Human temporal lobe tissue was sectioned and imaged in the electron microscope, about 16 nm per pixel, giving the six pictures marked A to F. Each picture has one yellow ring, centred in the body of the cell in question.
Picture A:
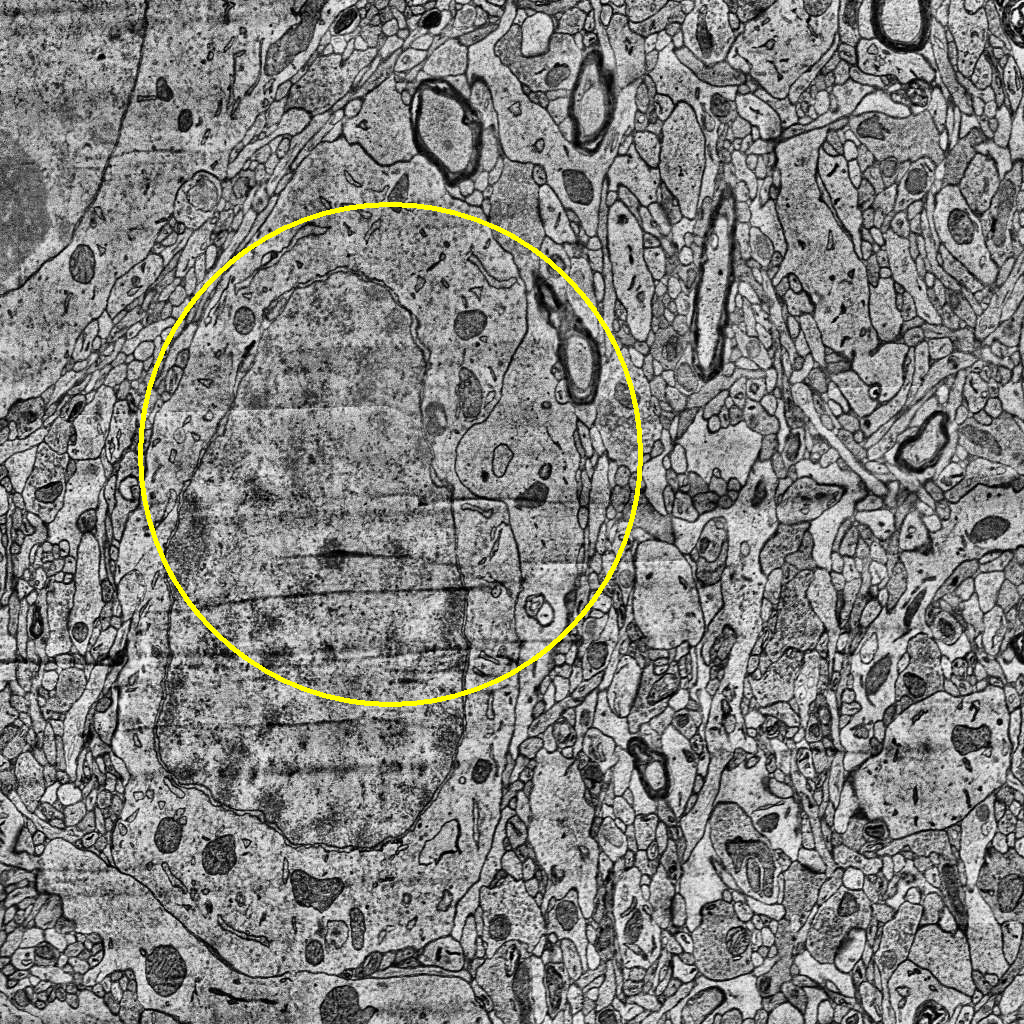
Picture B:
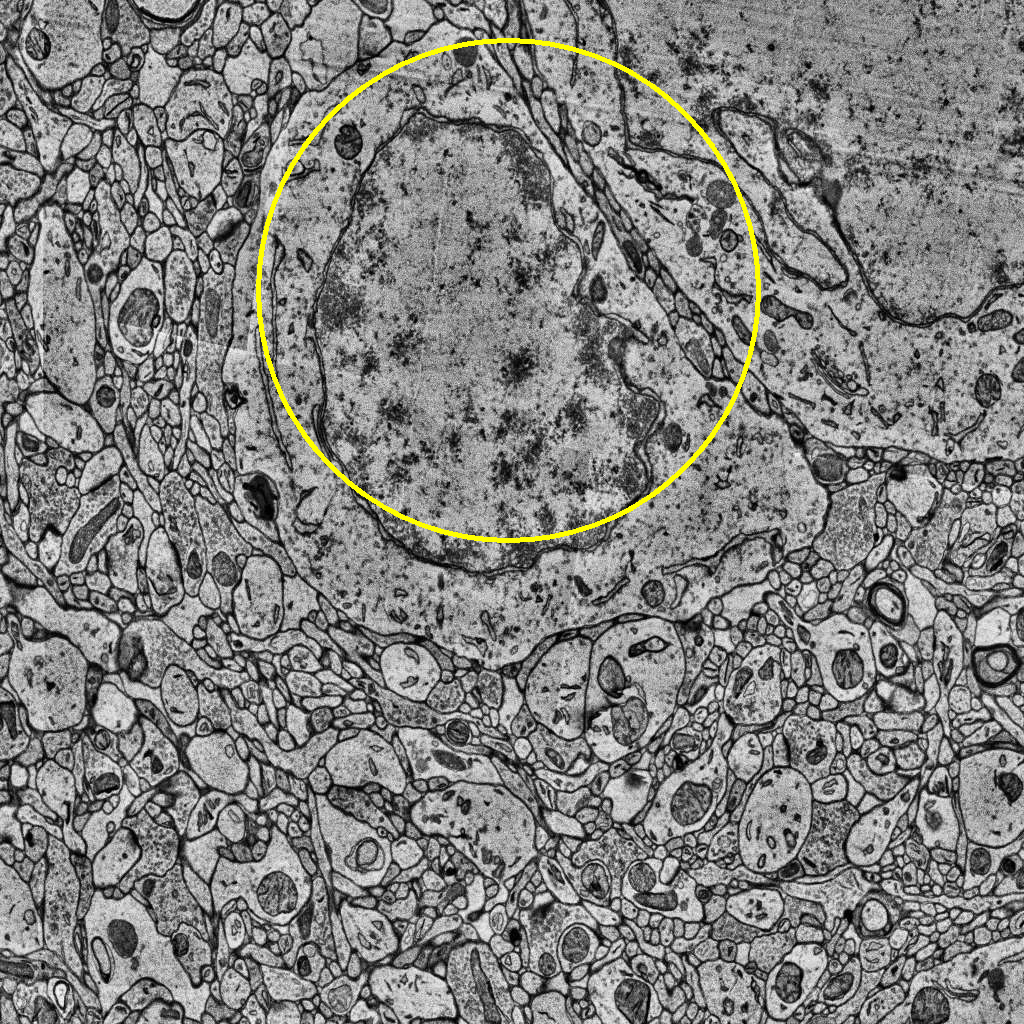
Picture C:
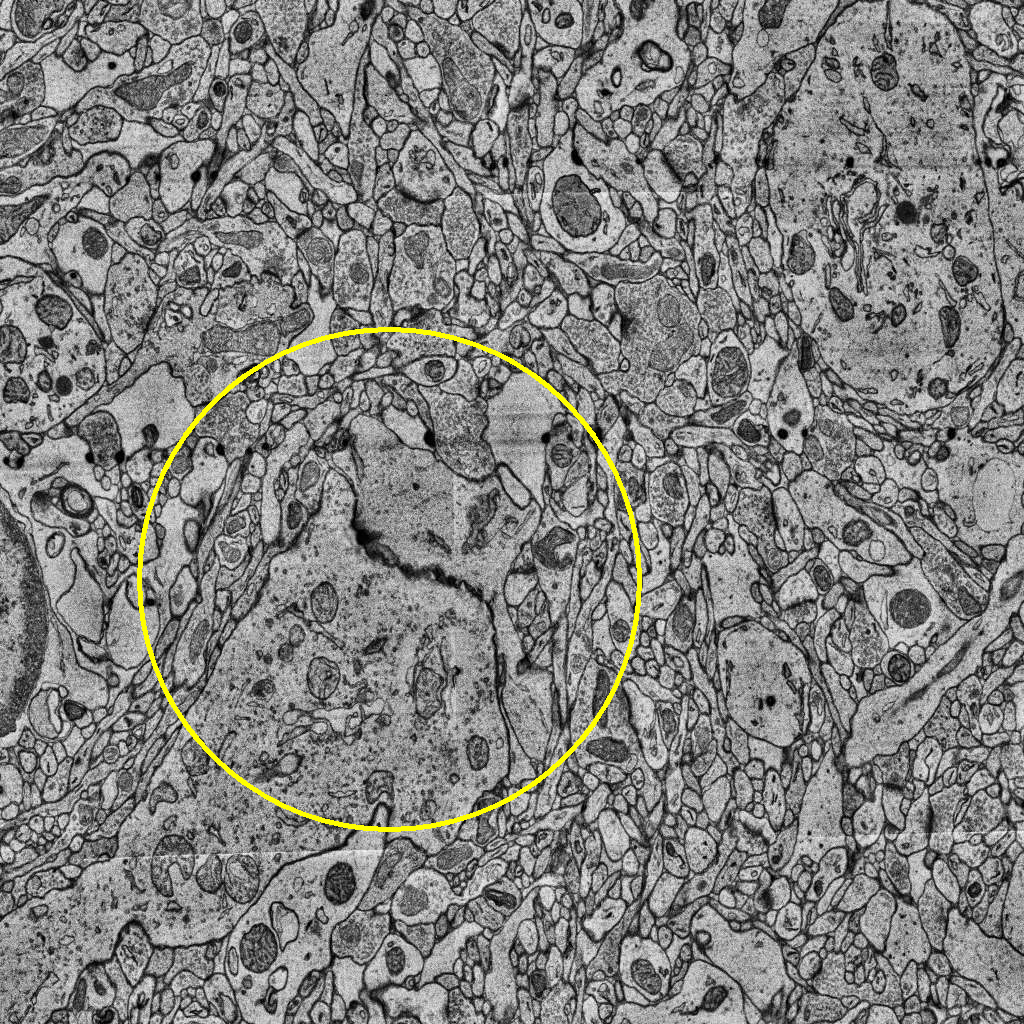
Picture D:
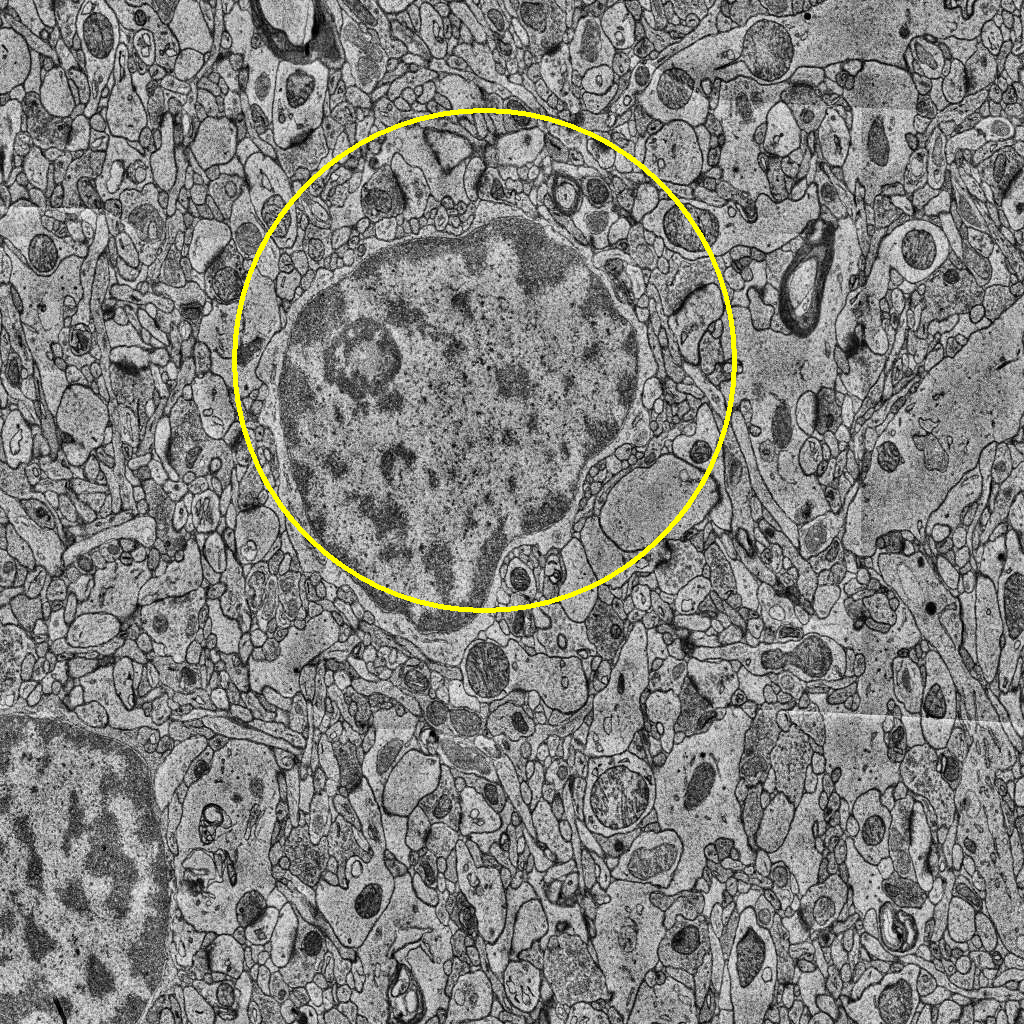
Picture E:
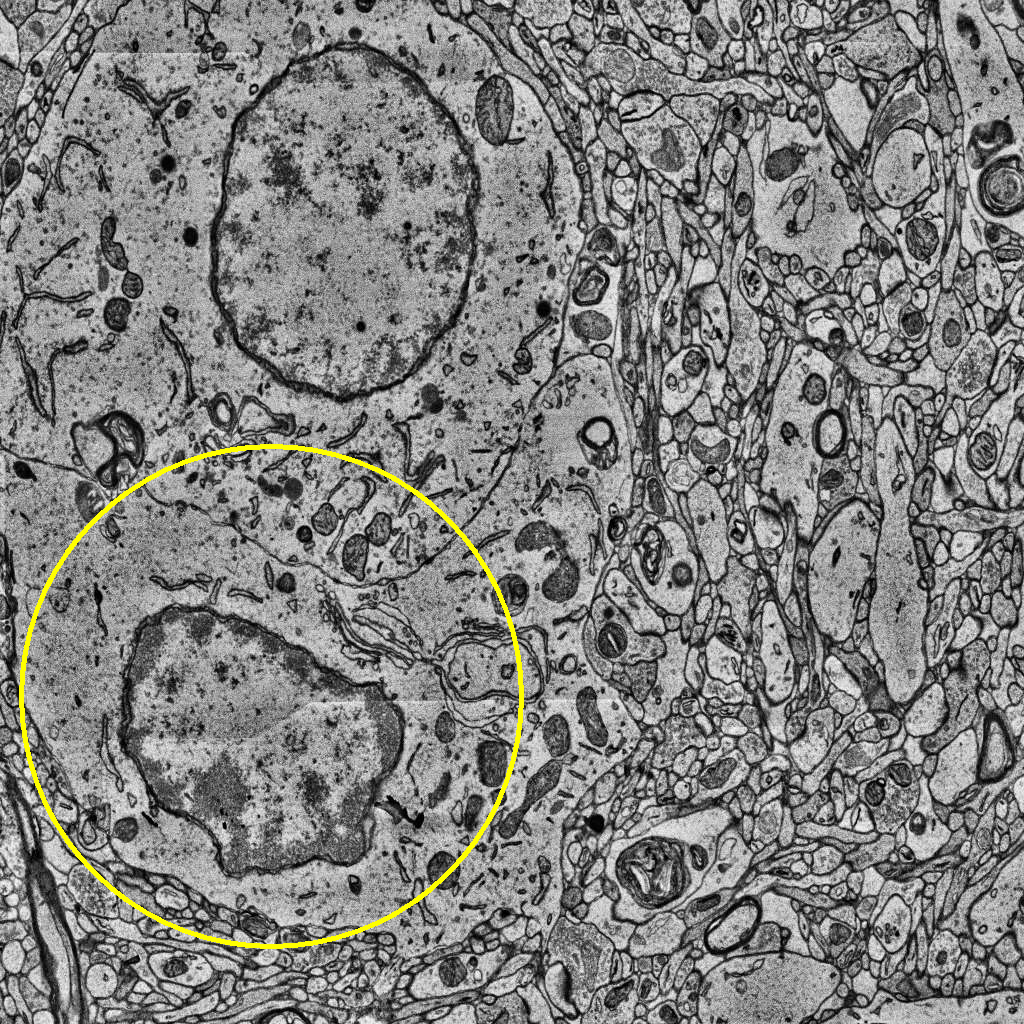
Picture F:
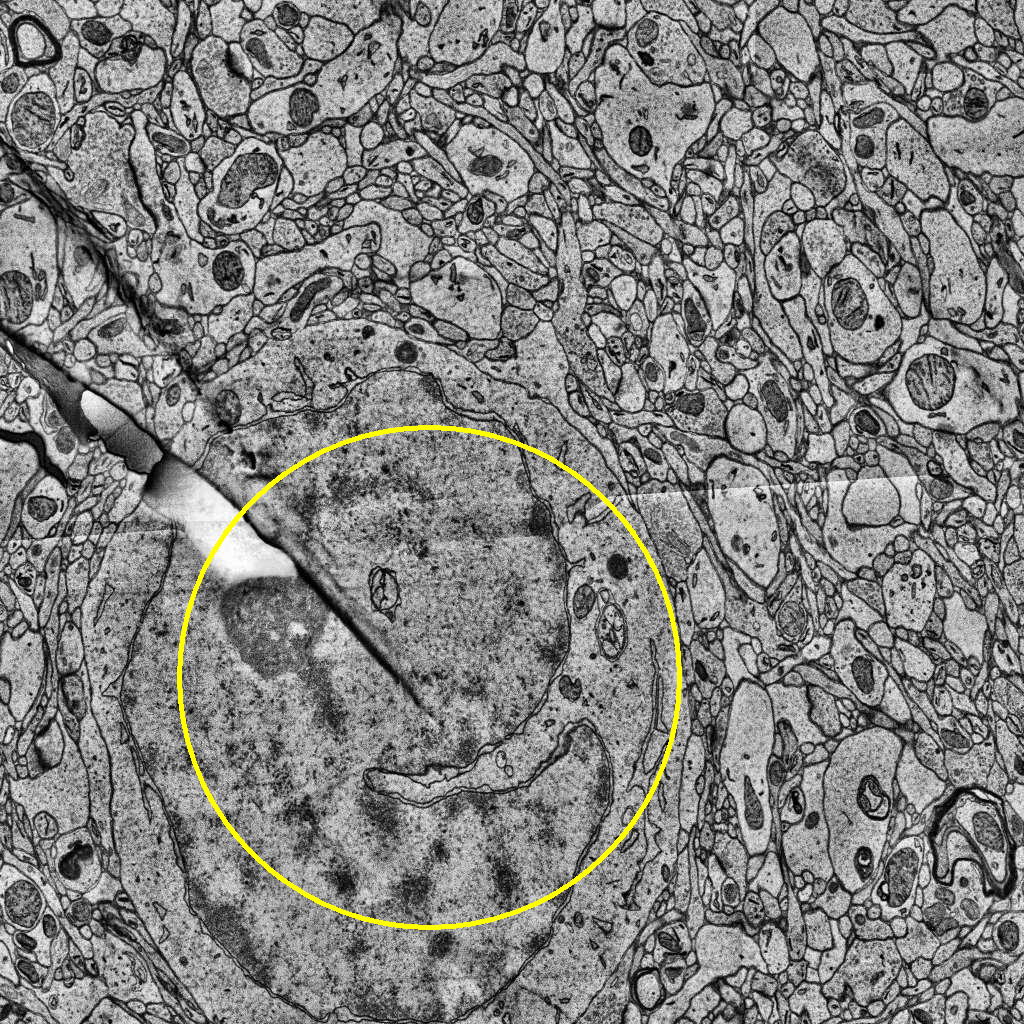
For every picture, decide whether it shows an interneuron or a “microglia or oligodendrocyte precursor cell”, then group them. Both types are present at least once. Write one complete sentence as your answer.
Pictures A, B, C and F show interneurons, and pictures D and E show “microglia or oligodendrocyte precursor cells”.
